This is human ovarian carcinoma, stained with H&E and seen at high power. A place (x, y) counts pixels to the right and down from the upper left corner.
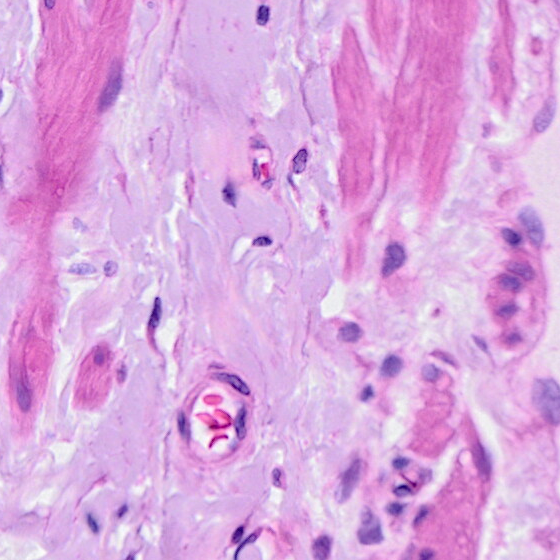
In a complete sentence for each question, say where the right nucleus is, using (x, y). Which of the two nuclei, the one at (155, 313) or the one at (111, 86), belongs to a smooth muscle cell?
The nucleus whose cell is a smooth muscle cell is the one at (111, 86).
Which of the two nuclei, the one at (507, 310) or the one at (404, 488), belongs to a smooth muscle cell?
The nucleus that sits at (507, 310) is the nucleus of a smooth muscle cell.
